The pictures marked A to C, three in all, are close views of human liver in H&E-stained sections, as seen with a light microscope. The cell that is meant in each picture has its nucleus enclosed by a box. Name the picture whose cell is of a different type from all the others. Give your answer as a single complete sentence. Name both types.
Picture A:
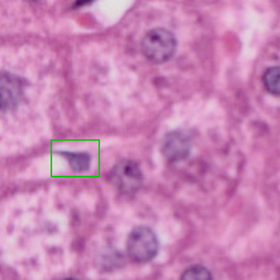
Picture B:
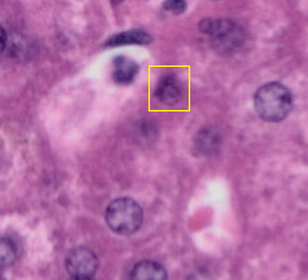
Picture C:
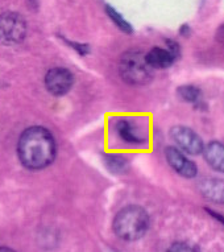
The different one is picture A; it shows an endothelial cell, whereas all the others show “fibroblasts or stellate cells”.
